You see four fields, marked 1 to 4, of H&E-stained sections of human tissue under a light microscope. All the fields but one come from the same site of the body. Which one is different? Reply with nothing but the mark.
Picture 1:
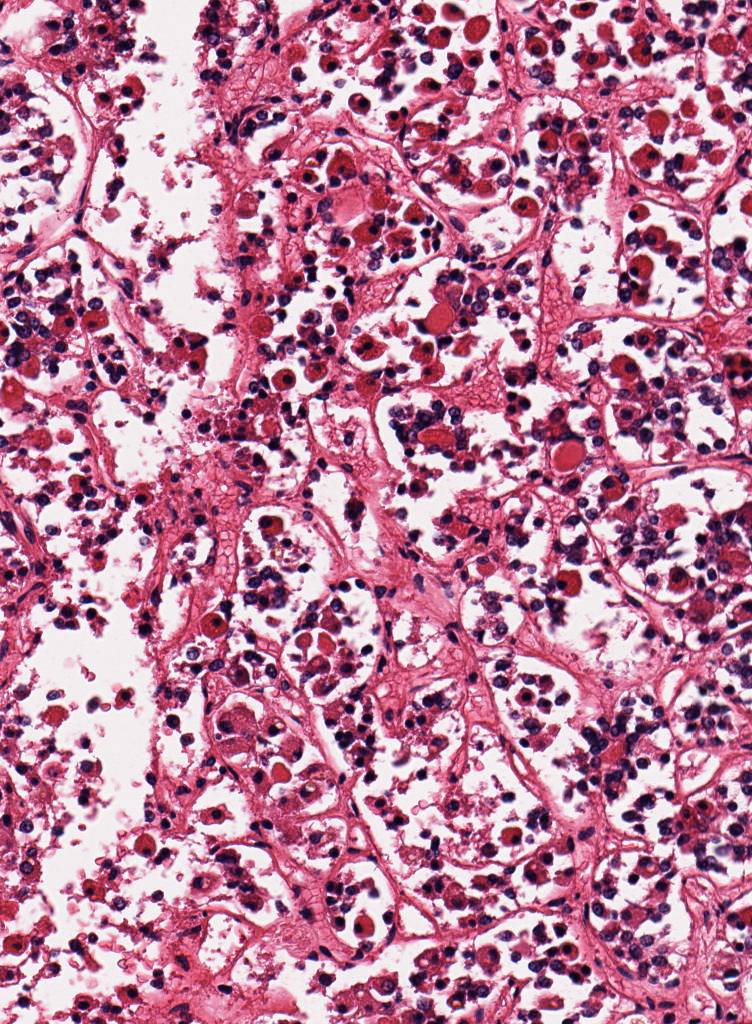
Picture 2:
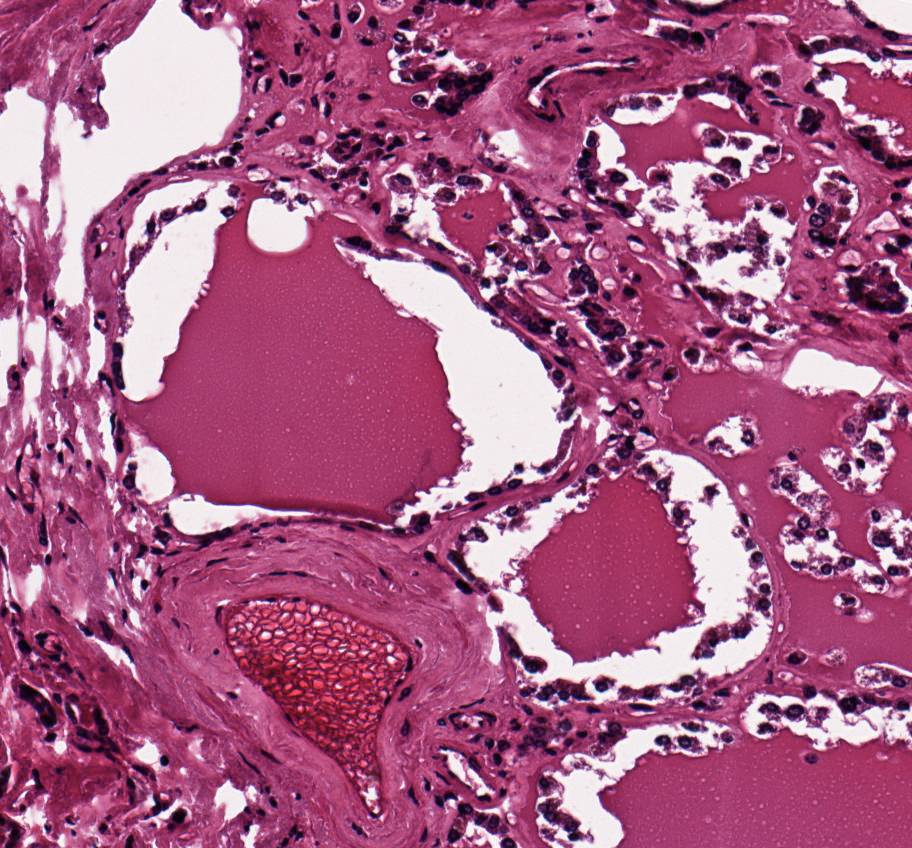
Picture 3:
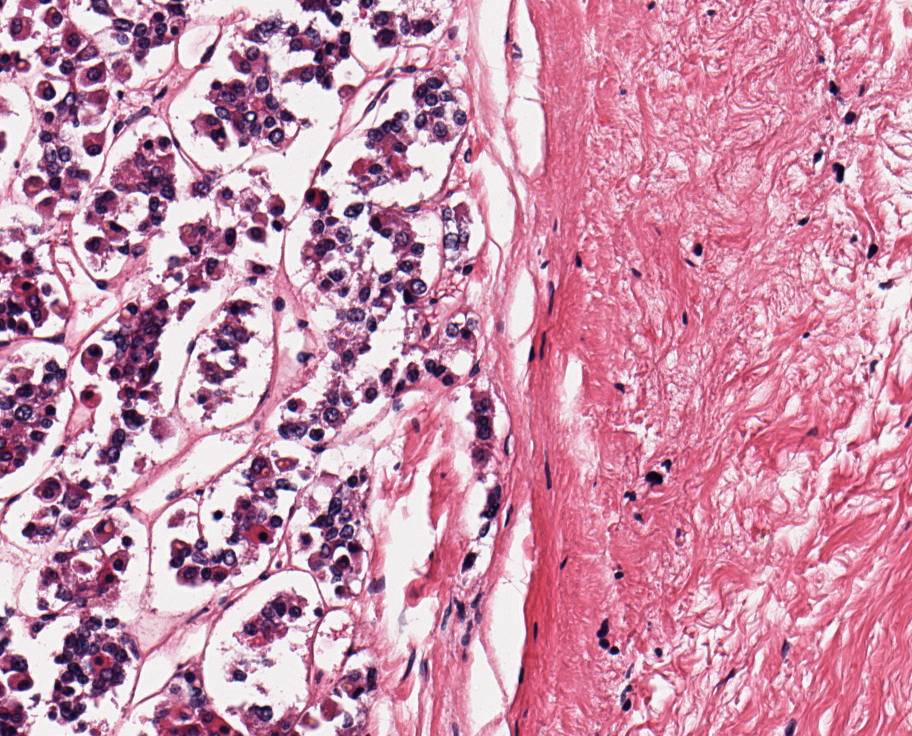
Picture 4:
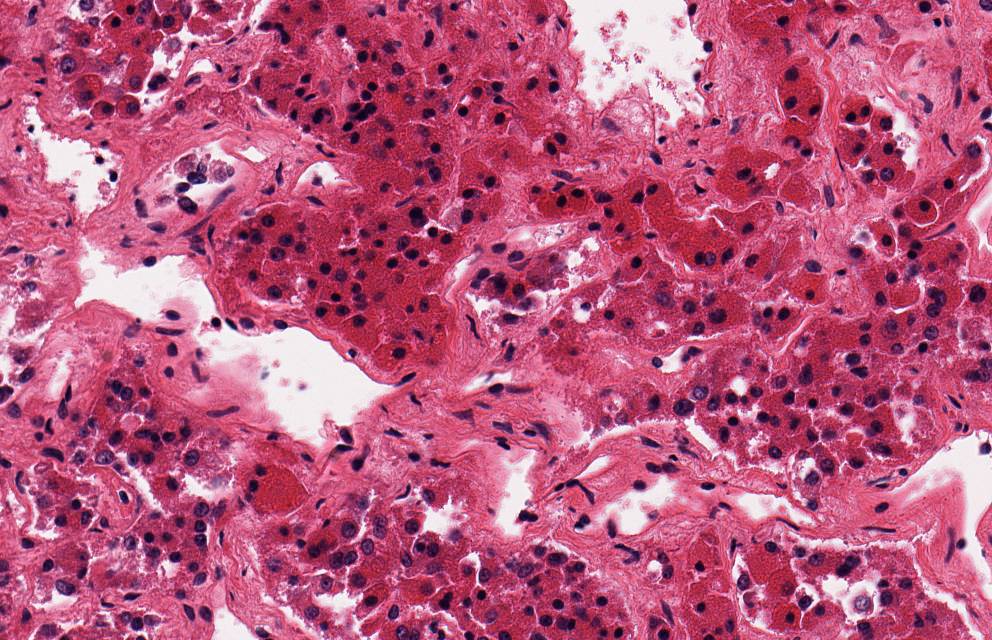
2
